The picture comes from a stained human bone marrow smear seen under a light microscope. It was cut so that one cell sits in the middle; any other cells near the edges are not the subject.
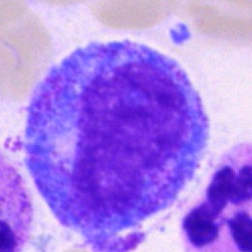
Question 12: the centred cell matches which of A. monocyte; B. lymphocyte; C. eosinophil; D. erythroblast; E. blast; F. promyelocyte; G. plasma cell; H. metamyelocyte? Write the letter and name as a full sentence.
The central cell of the crop is a promyelocyte, which makes F the correct option.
